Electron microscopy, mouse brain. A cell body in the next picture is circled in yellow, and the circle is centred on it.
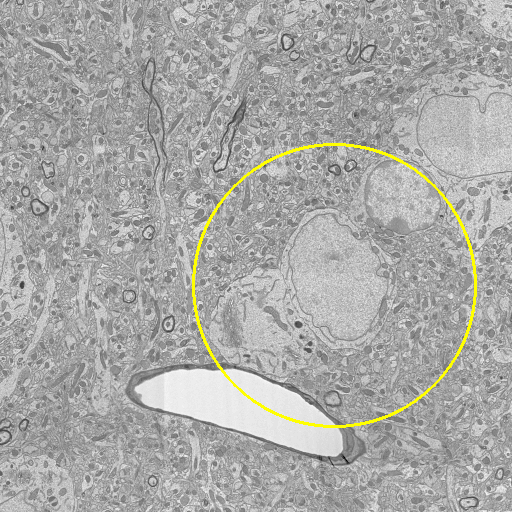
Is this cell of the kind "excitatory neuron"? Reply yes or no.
no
